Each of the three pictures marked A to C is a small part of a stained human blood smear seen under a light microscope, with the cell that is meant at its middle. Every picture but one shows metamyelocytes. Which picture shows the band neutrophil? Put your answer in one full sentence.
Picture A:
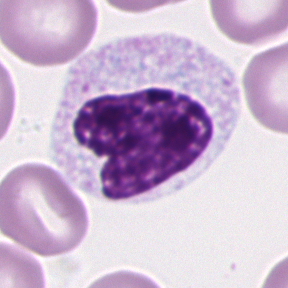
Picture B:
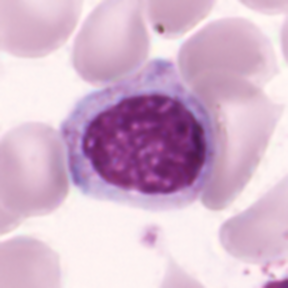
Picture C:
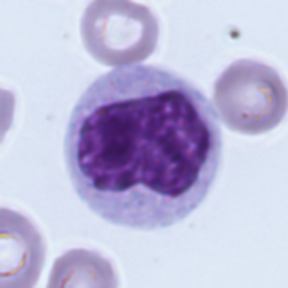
The picture with the band neutrophil is A.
